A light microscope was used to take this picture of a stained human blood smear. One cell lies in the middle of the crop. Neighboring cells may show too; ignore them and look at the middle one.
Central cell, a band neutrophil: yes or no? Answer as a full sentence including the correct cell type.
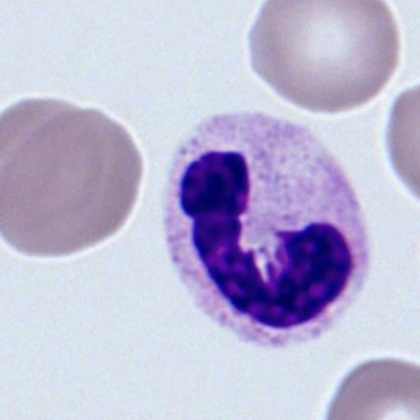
Yes, the middle cell is classified as a band neutrophil.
